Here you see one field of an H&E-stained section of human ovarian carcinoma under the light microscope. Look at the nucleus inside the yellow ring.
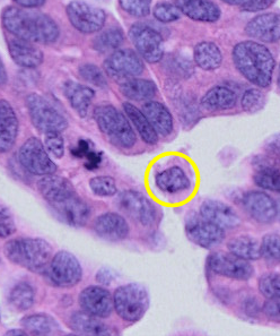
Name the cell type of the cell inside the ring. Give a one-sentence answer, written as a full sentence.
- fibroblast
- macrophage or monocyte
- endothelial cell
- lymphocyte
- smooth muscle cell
In the tissue under study, the cell inside the ring is a macrophage or monocyte.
